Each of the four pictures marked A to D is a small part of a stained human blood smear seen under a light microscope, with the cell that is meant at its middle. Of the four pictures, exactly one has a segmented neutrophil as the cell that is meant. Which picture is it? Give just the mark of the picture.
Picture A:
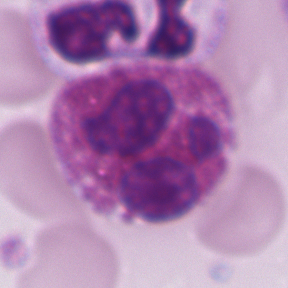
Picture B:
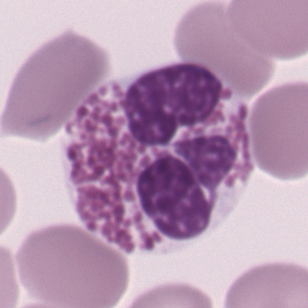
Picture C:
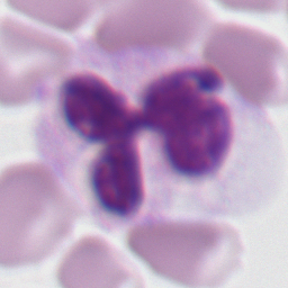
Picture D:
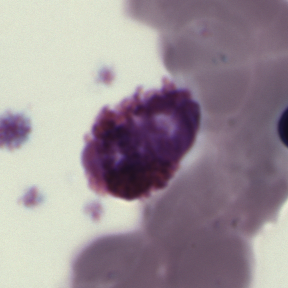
C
